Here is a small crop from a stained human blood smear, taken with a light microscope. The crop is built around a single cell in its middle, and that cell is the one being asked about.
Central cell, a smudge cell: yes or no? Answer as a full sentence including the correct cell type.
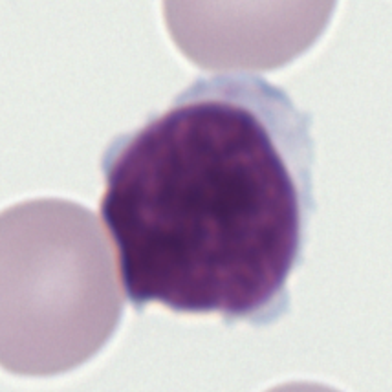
No, the cell sitting in the centre of the crop is a typical lymphocyte, not a smudge cell.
